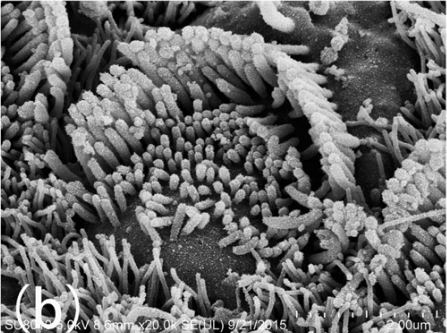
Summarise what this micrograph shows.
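This scanning electron micrograph shows the apical surface of an outer hair cell of the cochlear sensory epithelium with its stereocilia bundle. The stereocilia are rod-like projections packed closely in a curved row, graded in height. Around the bundle the surface is crowded with shorter, thinner microvilli of neighbouring cells.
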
